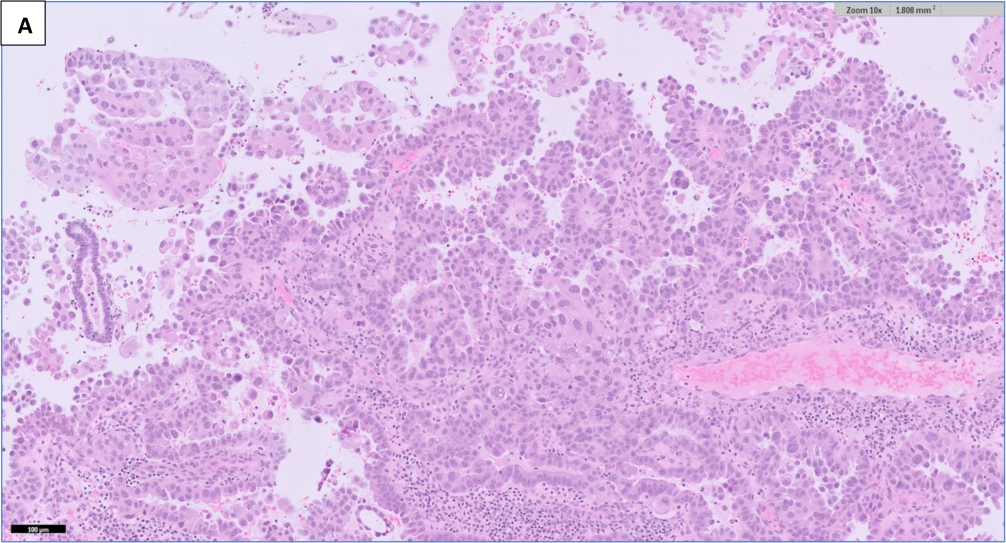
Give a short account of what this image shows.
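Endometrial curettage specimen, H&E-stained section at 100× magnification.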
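Fragments of carcinoma form branching papillary and tubular, gland-like structures lined by crowded epithelial cells, with some cells and small clusters floating free. Thin stromal cores with small dark nuclei and a congested vessel filled with red blood cells lie between the epithelial fronds.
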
